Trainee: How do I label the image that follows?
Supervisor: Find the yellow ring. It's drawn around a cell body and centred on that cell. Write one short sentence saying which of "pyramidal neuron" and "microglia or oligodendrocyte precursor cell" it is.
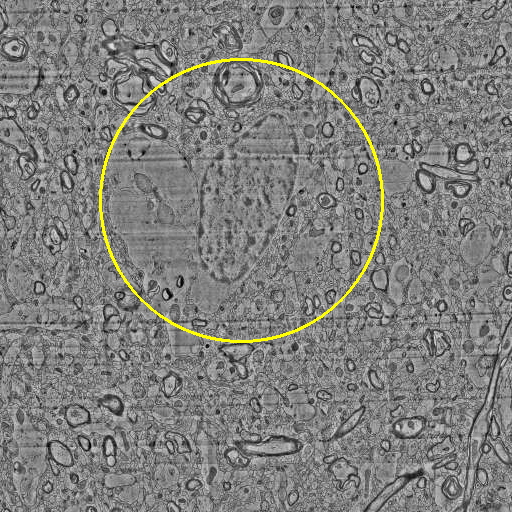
This is the cell body of a microglial cell or oligodendrocyte precursor cell.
